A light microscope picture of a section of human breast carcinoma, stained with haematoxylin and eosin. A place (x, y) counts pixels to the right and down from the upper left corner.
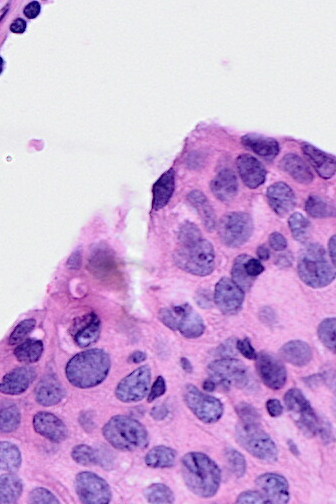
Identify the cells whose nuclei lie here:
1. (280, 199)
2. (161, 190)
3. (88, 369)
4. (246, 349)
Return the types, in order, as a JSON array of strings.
["carcinoma cell", "carcinoma cell", "carcinoma cell", "lymphocyte"]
